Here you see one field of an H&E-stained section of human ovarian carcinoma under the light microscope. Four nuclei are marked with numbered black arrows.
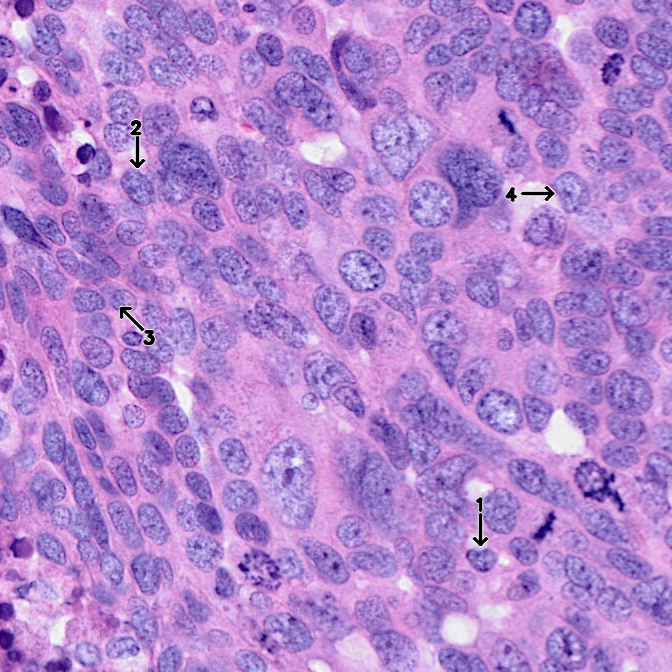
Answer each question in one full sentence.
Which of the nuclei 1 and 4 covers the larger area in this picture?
At about 1.5 times the area of nucleus 1, nucleus 4 is the larger of the two.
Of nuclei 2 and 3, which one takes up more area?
At about 2.5 times the area of nucleus 3, nucleus 2 is the larger of the two.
